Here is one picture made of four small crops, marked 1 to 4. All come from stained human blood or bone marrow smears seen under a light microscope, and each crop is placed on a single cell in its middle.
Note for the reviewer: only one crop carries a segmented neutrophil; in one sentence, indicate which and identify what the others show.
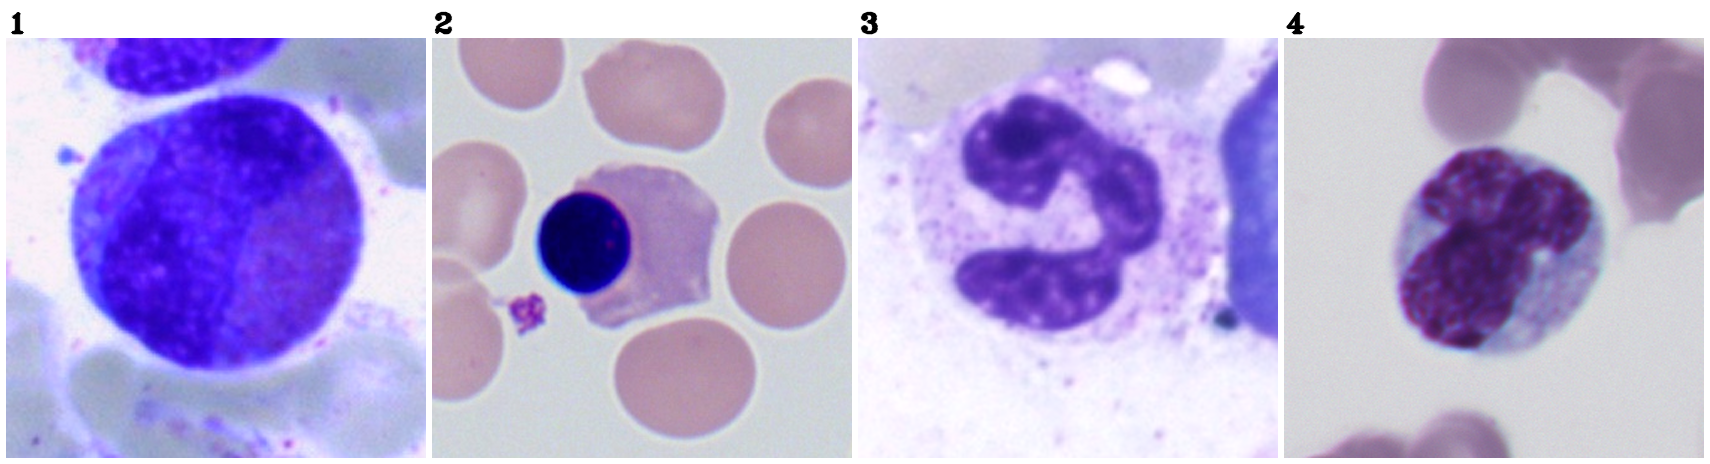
Crop 3 is identified as a segmented neutrophil, while crop 1 is an eosinophil, crop 2 is an erythroblast and crop 4 is a monocyte.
